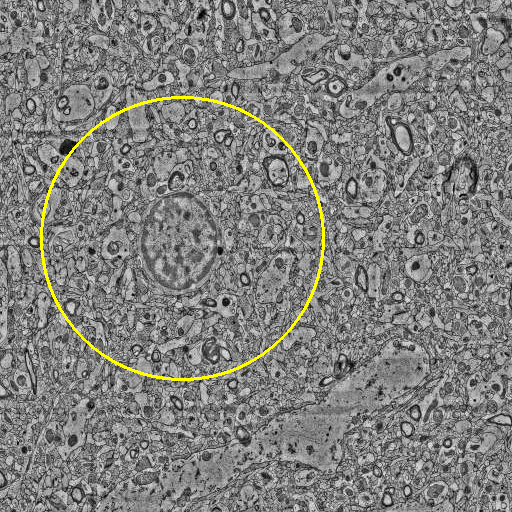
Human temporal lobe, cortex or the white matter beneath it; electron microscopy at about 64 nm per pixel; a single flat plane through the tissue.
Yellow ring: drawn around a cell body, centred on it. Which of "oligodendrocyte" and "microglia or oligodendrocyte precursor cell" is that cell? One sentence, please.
That cell body is from an oligodendrocyte.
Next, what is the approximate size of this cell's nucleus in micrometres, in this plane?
Roughly 6 by 5 micrometres is the size of the nucleus in this plane.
